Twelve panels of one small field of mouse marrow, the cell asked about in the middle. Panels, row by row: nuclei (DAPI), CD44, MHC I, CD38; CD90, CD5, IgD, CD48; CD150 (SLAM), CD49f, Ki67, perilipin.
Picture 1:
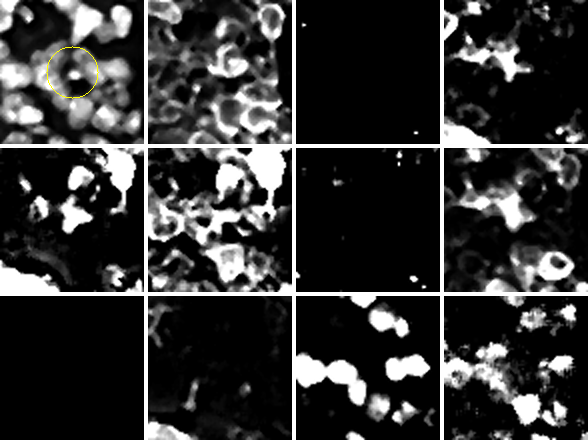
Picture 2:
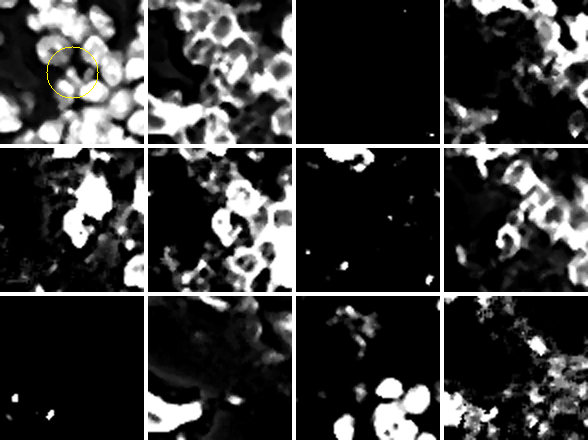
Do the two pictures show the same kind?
Yes, both are T cells.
